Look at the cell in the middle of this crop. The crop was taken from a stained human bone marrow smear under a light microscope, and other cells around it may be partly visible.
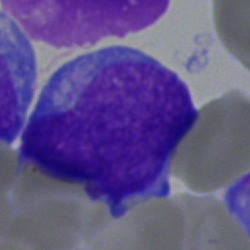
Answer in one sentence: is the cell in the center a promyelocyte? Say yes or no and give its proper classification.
No, the middle cell is actually a blast rather than a promyelocyte.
